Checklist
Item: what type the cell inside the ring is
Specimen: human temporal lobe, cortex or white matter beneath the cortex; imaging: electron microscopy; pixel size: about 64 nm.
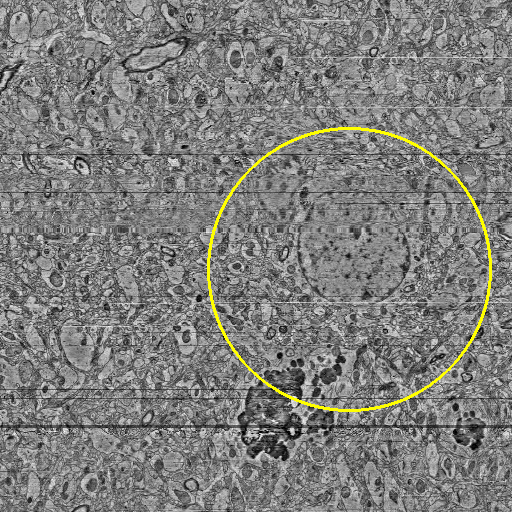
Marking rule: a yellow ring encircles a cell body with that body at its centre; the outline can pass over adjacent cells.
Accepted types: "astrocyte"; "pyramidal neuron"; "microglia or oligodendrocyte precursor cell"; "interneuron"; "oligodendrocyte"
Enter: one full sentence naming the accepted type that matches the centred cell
The entry is that an astrocyte lies at the centre of the yellow ring.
